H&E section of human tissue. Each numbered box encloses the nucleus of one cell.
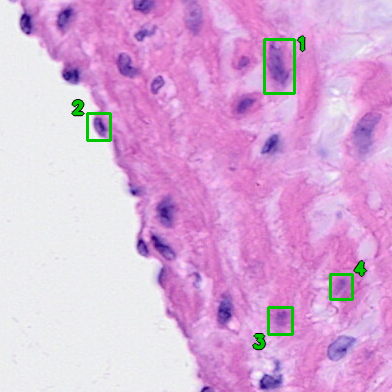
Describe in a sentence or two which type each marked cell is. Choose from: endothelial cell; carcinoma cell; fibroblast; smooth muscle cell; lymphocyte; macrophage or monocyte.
Cell 1 is a smooth muscle cell, cell 2 is an endothelial cell, cell 3 is a smooth muscle cell and cell 4 is a smooth muscle cell.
